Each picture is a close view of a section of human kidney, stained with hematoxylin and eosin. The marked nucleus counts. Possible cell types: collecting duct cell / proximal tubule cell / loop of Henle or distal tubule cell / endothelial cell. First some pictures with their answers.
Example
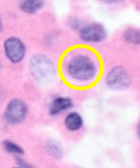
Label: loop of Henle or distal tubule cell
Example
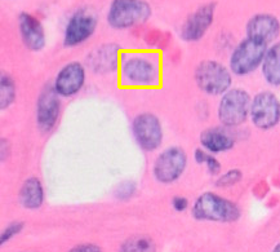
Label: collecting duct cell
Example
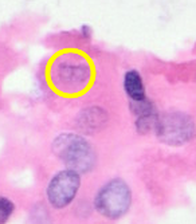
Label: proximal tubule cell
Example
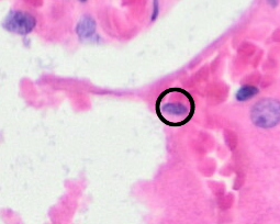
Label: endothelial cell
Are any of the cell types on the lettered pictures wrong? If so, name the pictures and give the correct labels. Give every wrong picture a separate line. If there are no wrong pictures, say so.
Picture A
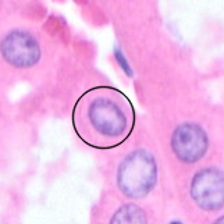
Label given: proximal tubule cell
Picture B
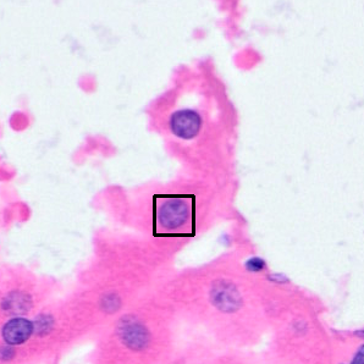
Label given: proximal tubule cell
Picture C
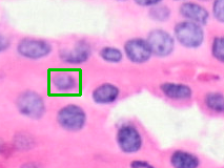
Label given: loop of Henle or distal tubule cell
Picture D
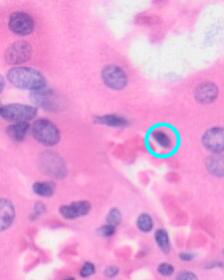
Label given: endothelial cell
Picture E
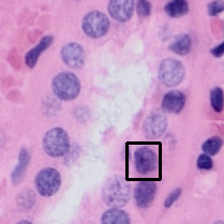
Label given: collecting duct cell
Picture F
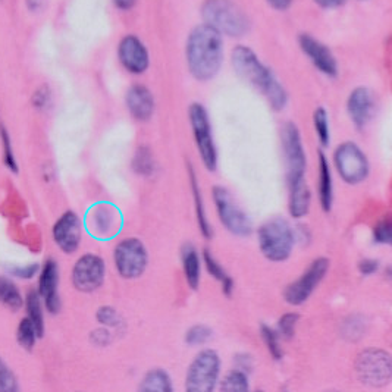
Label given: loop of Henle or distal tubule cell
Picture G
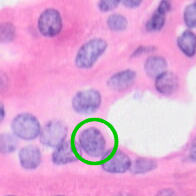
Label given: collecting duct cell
Every label is right.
